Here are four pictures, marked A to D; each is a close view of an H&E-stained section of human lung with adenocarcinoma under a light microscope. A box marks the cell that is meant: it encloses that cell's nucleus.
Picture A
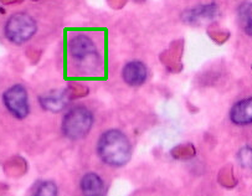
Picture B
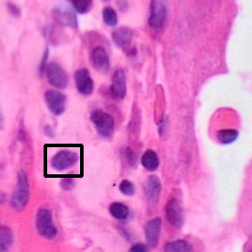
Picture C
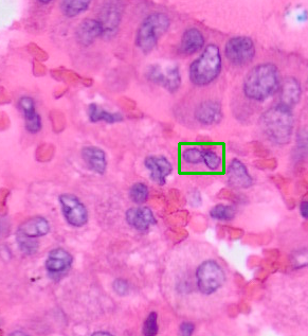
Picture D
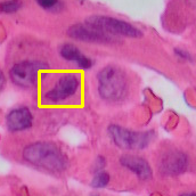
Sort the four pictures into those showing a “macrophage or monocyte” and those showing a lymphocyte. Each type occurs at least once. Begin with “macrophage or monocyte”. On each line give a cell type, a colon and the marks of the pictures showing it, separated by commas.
macrophage or monocyte: A, C, D
lymphocyte: B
